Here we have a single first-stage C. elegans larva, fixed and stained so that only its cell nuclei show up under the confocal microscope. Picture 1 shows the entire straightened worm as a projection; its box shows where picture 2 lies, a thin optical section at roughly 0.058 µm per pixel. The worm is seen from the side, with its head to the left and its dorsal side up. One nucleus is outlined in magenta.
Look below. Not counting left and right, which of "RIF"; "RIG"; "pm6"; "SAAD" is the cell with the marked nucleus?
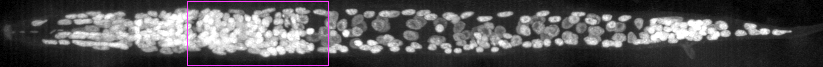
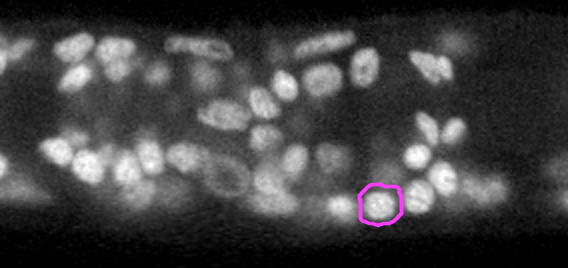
RIF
